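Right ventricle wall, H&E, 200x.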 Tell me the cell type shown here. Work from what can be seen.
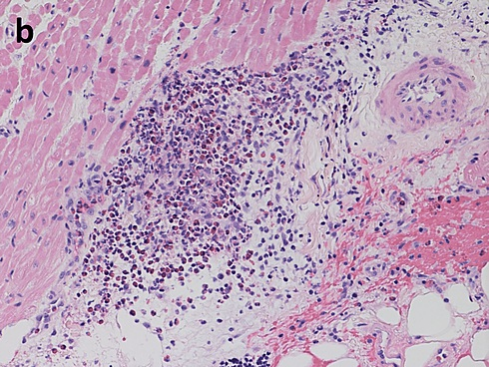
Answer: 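Eosinophils. A dense cluster of small round cells lies between pink muscle fibres and fat. Many of the clustered cells have bright red-orange granular cytoplasm.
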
